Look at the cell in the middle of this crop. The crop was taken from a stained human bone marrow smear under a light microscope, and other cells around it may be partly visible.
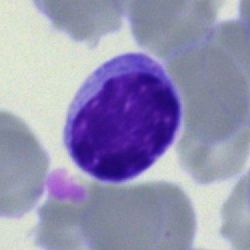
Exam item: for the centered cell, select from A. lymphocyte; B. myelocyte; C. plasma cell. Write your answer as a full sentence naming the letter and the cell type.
Identification: the cell in the middle is a lymphocyte, matching option A.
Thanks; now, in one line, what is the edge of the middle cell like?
No surface projections are present; the cell outline is smooth.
